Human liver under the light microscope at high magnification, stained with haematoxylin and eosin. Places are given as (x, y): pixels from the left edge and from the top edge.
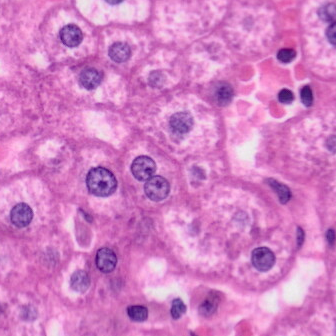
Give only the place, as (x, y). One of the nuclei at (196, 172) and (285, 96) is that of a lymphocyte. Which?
(285, 96)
